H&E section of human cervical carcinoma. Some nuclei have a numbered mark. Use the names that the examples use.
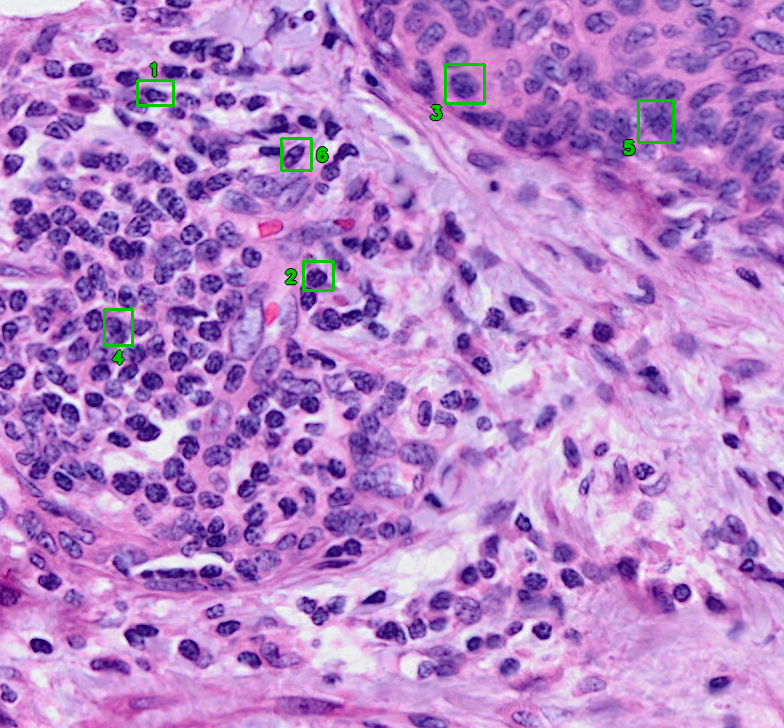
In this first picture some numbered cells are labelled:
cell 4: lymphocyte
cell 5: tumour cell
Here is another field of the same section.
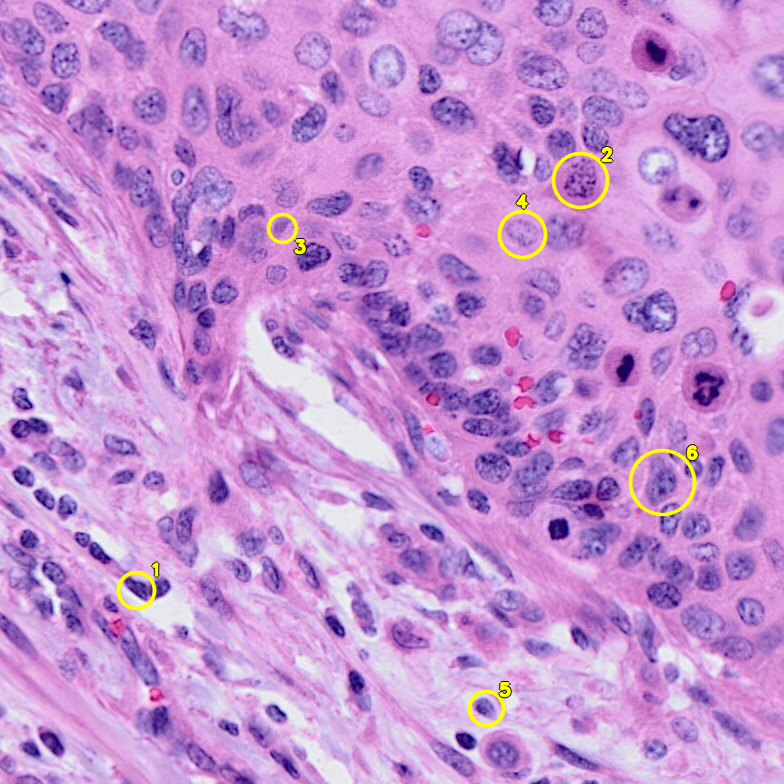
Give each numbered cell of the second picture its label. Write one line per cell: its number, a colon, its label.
1: lymphocyte
2: tumour cell
3: tumour cell
4: tumour cell
5: lymphocyte
6: tumour cell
